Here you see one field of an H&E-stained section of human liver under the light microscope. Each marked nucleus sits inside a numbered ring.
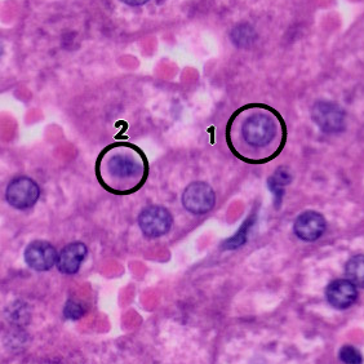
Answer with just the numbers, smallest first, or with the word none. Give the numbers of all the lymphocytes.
none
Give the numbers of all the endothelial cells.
2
